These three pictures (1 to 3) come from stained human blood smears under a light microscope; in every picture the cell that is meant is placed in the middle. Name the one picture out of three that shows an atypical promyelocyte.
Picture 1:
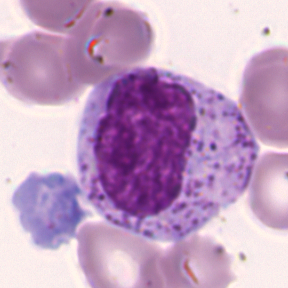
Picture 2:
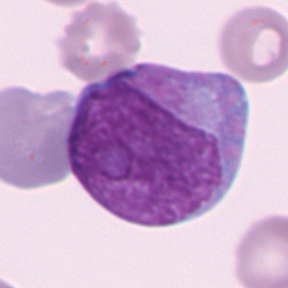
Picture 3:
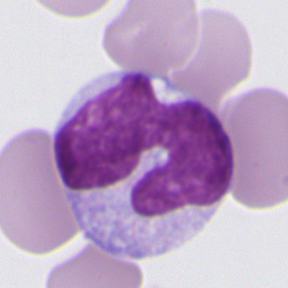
2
